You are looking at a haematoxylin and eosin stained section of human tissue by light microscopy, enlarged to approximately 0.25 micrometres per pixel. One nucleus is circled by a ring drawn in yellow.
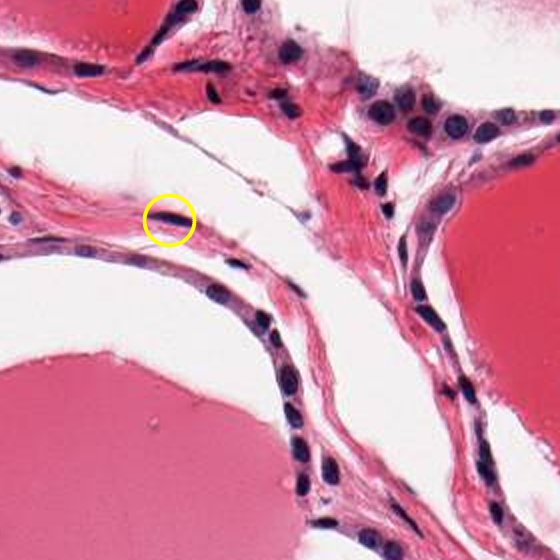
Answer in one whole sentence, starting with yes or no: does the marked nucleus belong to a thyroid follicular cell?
No, the marked nucleus belongs to a supporting cell, not to a thyroid follicular cell.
